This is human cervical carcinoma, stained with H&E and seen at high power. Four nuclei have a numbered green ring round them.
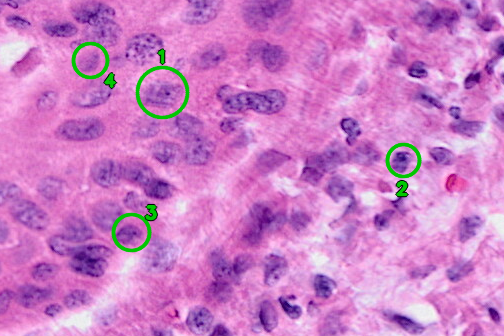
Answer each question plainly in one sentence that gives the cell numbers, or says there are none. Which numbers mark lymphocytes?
The cell marked by number 2 is a lymphocyte; the other marked cells are not.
